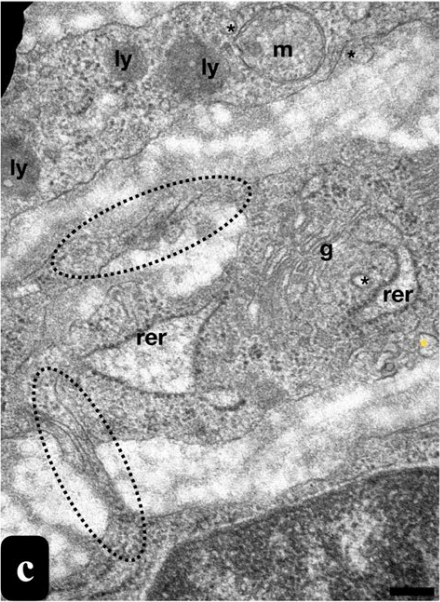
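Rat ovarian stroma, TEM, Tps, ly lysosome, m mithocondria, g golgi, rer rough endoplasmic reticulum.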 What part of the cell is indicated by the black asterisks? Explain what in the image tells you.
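Small round membrane-bound profiles in the cytoplasm next to the marks. So: vesicles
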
